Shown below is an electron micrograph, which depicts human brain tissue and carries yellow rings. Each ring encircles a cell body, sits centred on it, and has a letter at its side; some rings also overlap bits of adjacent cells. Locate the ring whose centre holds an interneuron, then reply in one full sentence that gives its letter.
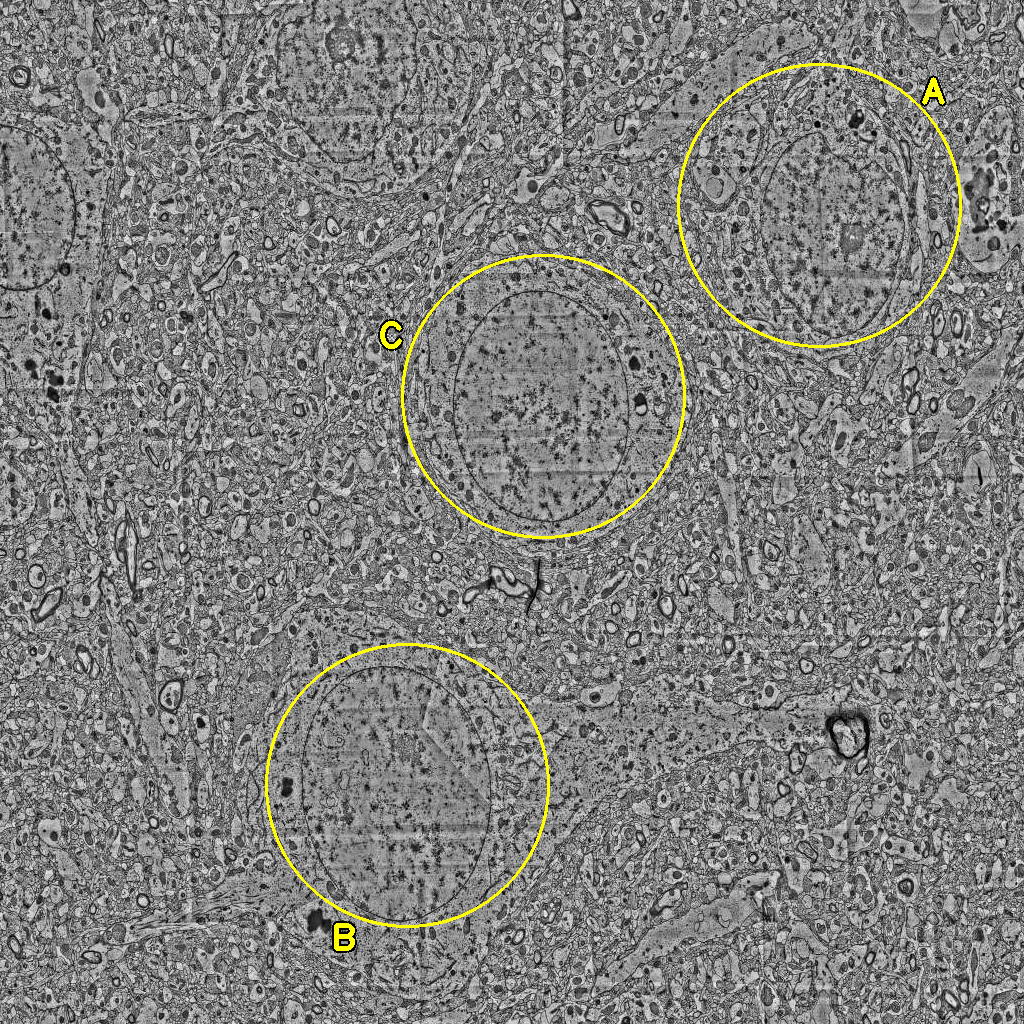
The ring centred on the cell asked for is the one marked A.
